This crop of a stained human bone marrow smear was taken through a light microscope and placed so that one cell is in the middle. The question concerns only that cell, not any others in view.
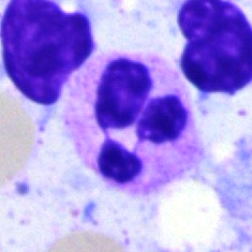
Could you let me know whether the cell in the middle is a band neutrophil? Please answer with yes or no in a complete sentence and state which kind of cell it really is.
No, this one is a segmented neutrophil; it is not a band neutrophil.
